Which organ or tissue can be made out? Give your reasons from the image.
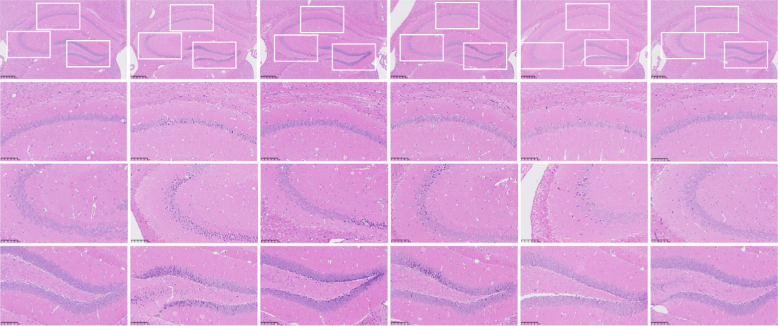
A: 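Hippocampus. Curved bands of densely packed purple nuclei form C-shaped and V-shaped layers. Pink neuropil surrounds the dark cell layers.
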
